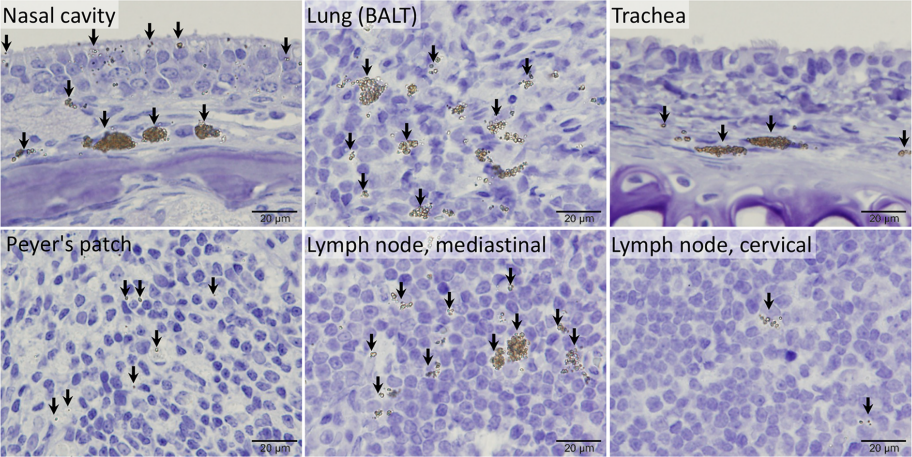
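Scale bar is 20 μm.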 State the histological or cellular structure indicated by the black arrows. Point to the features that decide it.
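The arrows point to yellowish-brown granular deposits lying among the blue-stained nuclei. The deposits appear as single small grains and as larger clumps. The answer: particles.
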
